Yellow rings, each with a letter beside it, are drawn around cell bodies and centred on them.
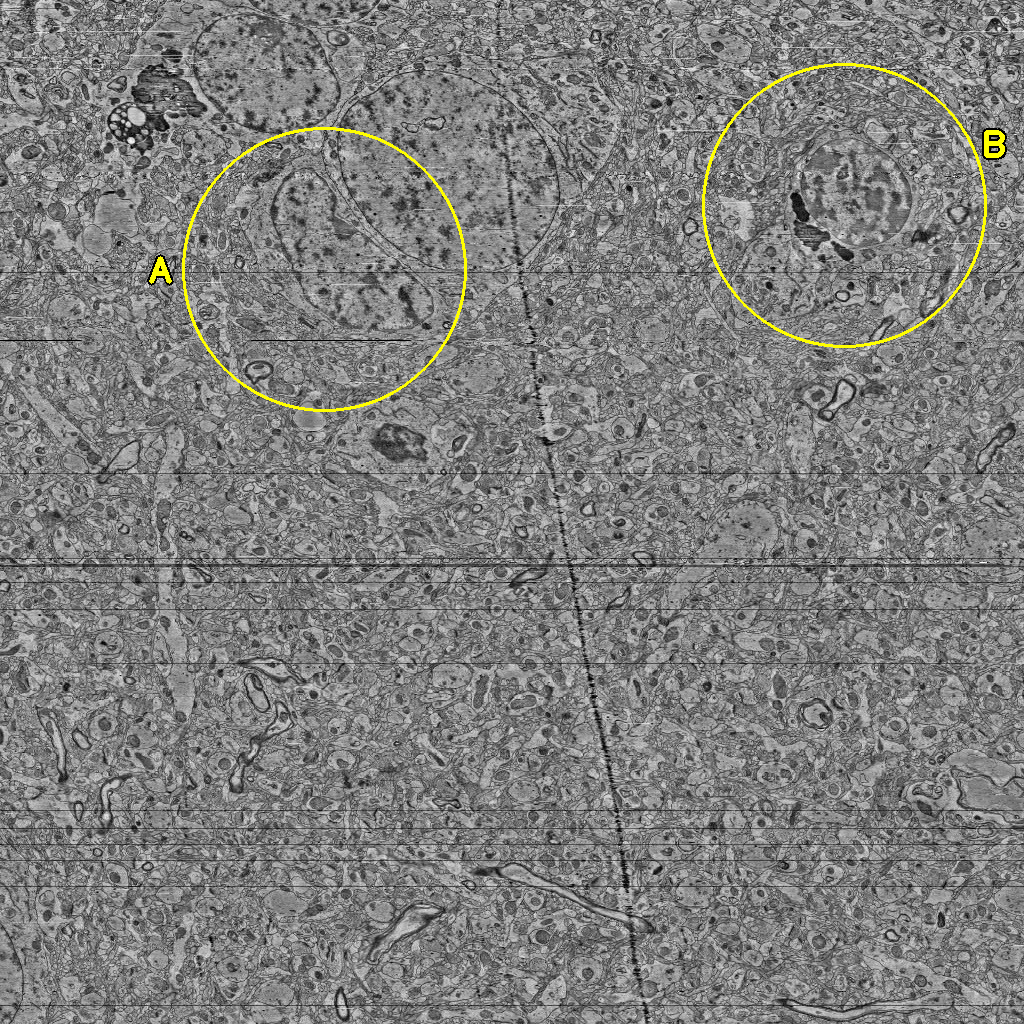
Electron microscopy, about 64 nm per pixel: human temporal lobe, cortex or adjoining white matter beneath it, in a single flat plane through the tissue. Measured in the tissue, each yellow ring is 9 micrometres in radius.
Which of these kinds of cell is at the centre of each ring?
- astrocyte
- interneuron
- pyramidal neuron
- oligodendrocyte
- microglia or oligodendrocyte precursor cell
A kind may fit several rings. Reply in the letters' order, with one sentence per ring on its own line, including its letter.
The cell in the middle of ring A is a microglial cell or oligodendrocyte precursor cell.
The cell in the middle of ring B is an oligodendrocyte.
